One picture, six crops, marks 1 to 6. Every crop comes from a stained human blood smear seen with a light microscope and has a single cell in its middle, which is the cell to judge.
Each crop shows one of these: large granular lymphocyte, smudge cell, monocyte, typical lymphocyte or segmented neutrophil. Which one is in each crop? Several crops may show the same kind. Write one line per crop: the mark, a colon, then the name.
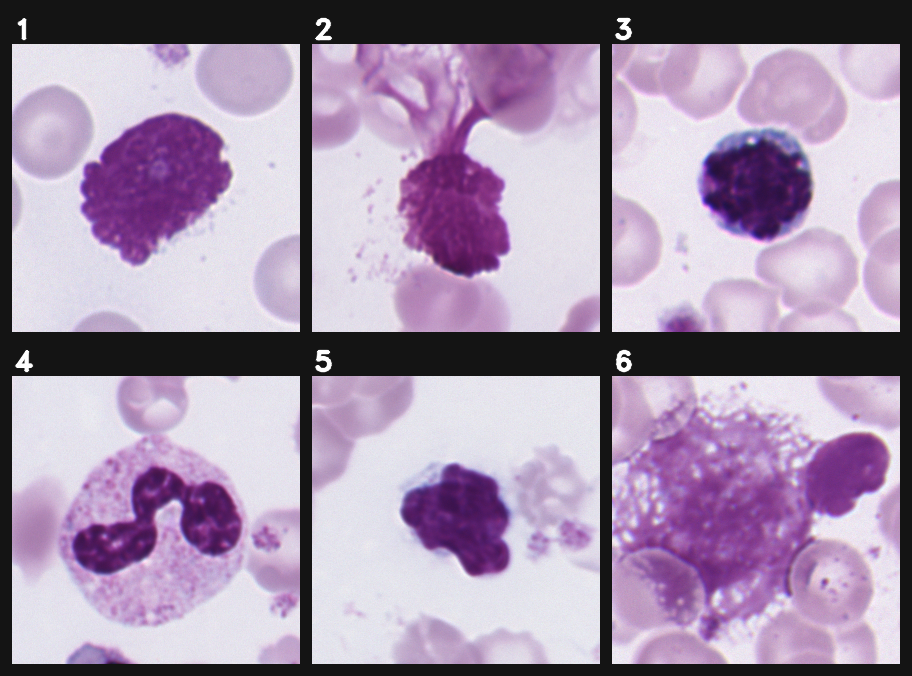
1: smudge cell
2: smudge cell
3: typical lymphocyte
4: segmented neutrophil
5: typical lymphocyte
6: smudge cell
